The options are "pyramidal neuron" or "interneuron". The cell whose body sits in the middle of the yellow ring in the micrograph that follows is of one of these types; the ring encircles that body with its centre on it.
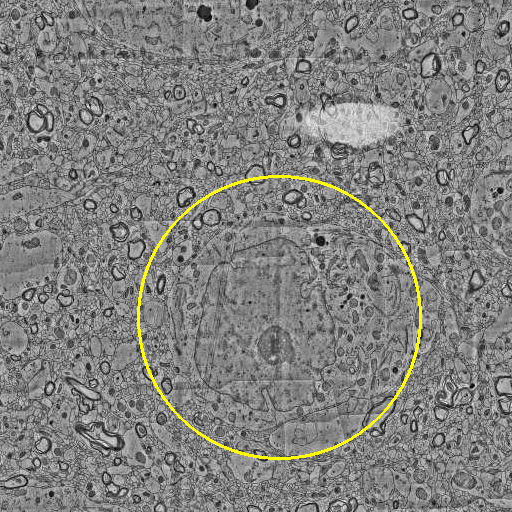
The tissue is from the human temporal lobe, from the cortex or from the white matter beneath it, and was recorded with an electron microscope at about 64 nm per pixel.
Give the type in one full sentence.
Going by the micrograph, the cell centred in the yellow ring is an interneuron.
